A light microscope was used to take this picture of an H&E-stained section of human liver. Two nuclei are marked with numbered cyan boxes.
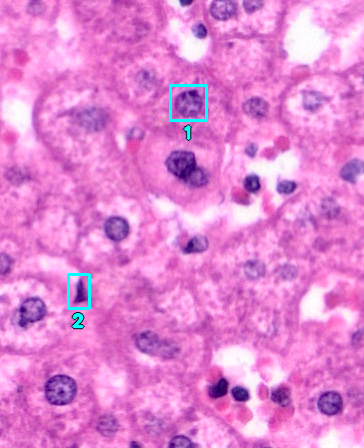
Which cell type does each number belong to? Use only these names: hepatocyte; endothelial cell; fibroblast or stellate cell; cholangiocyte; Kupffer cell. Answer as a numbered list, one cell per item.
1. hepatocyte
2. endothelial cell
